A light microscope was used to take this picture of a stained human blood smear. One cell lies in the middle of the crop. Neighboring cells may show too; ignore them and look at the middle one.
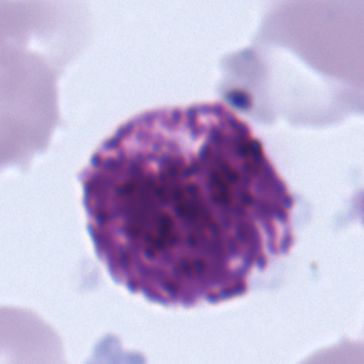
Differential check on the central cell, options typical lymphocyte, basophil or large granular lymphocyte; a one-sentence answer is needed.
Classification of the middle cell gives a basophil.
